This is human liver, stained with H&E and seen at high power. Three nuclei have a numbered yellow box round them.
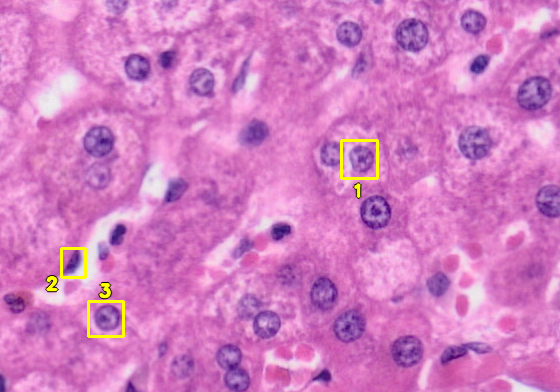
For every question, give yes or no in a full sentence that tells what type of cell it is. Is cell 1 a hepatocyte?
Yes. The cell carrying number 1 is a hepatocyte.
